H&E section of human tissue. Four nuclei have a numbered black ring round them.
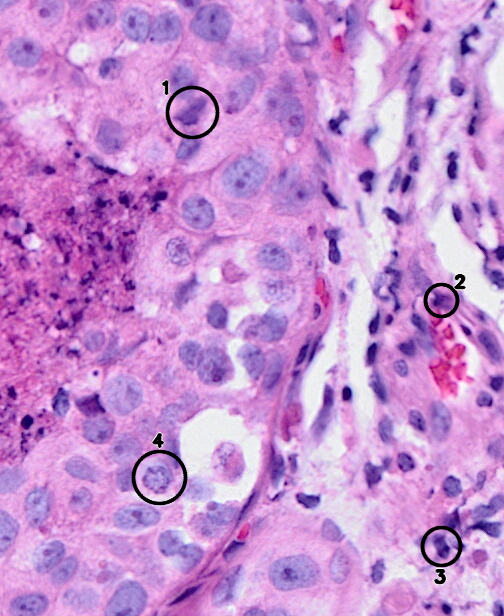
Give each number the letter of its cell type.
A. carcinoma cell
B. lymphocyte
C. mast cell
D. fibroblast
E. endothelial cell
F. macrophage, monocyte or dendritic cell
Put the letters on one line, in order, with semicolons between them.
A; E; B; A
